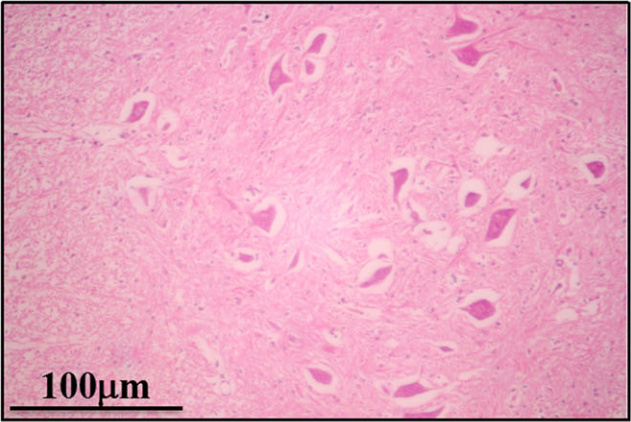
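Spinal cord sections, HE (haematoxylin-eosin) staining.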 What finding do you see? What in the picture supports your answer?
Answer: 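Neuron bodies are shrunken and angular. Each neuron is surrounded by a wide clear halo separating it from the neuropil. So: Decrease of the cell volume of neuron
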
